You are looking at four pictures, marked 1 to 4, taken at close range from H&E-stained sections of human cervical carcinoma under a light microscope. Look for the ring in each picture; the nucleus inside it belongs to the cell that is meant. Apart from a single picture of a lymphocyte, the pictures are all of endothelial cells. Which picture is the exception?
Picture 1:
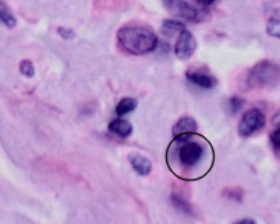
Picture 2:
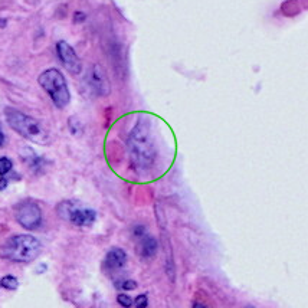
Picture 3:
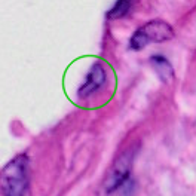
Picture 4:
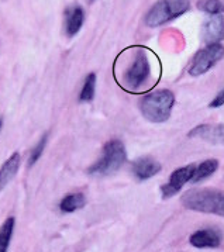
1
